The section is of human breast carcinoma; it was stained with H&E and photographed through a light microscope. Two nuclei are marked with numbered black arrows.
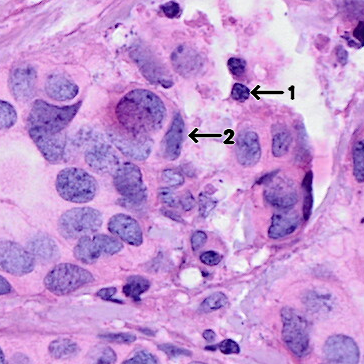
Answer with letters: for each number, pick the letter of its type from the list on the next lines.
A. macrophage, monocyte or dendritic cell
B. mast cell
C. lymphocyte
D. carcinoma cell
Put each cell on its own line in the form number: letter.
1: C
2: D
